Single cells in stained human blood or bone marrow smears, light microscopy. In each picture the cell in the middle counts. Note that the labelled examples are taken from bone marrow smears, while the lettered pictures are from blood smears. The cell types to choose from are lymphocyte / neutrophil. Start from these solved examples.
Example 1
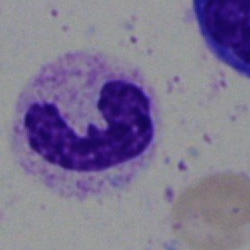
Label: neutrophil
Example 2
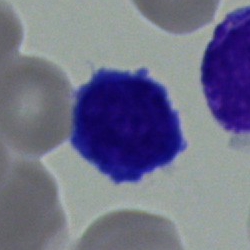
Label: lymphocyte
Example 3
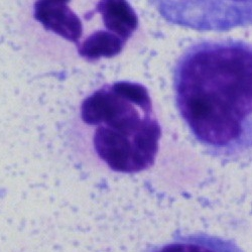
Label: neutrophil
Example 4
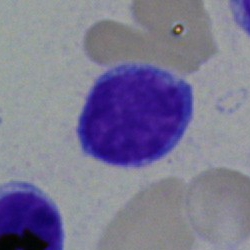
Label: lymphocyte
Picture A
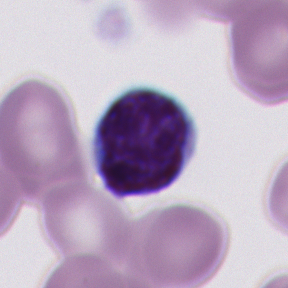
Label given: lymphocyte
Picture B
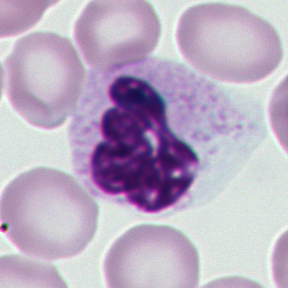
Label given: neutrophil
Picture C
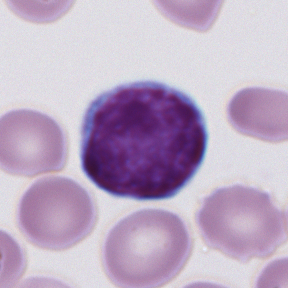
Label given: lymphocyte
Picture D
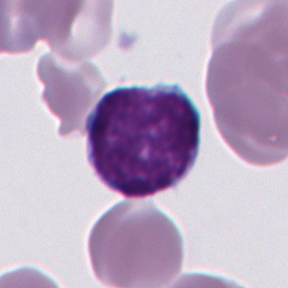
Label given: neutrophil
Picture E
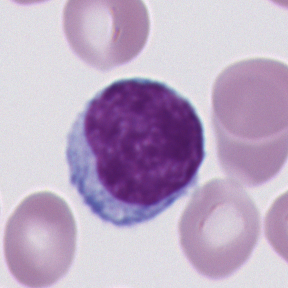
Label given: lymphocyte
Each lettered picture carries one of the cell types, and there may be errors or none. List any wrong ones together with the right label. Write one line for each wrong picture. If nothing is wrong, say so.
D should be lymphocyte, not neutrophil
